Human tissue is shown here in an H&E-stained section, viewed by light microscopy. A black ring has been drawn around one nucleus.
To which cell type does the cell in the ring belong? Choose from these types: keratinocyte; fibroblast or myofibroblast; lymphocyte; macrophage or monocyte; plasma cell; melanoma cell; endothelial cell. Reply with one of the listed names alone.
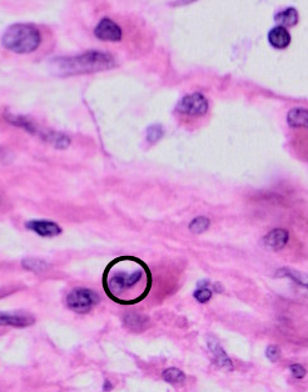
macrophage or monocyte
